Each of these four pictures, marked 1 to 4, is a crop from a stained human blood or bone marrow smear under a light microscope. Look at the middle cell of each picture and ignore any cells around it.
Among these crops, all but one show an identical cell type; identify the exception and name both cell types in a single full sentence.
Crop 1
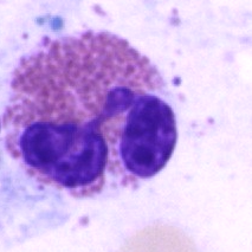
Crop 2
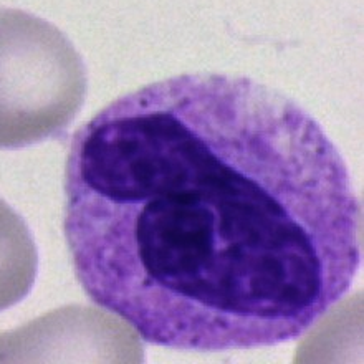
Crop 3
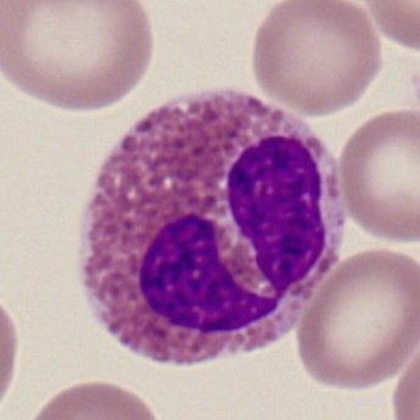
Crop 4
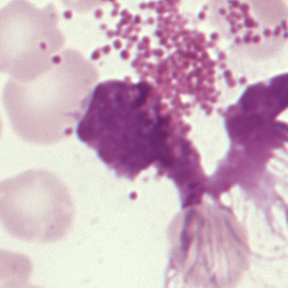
In this set the other crops all show eosinophils, and crop 2 shows a segmented neutrophil.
